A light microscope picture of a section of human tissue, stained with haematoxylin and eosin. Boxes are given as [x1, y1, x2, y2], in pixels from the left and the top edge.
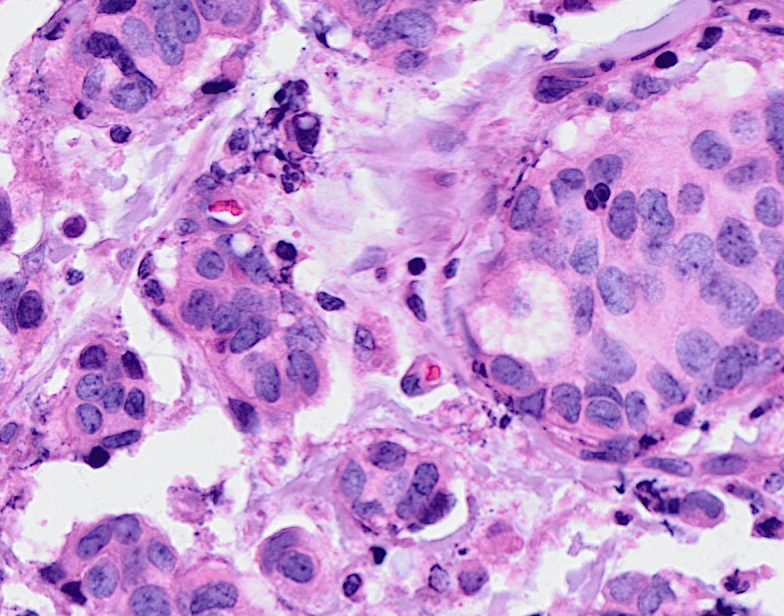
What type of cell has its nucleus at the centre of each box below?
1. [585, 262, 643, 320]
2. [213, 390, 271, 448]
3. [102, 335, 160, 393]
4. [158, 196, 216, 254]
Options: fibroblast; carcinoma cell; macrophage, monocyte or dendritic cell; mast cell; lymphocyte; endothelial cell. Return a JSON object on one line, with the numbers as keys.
{"1": "carcinoma cell", "2": "carcinoma cell", "3": "carcinoma cell", "4": "endothelial cell"}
